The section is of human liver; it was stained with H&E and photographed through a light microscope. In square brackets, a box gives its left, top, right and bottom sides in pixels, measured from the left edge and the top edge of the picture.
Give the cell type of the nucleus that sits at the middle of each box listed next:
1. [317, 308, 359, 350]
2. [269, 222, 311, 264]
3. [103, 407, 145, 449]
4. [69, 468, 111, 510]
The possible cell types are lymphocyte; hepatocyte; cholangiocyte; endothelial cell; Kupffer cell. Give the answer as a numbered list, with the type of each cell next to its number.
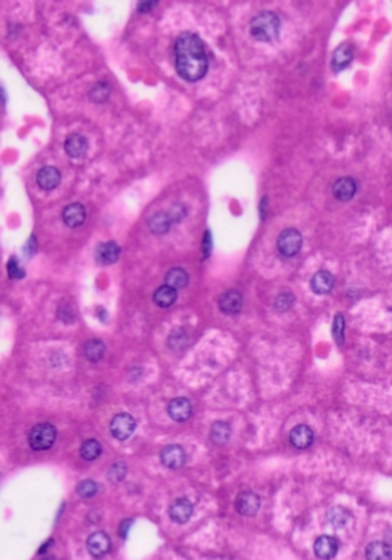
1. Kupffer cell
2. hepatocyte
3. hepatocyte
4. cholangiocyte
